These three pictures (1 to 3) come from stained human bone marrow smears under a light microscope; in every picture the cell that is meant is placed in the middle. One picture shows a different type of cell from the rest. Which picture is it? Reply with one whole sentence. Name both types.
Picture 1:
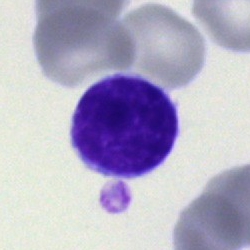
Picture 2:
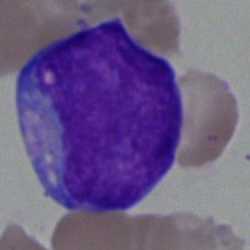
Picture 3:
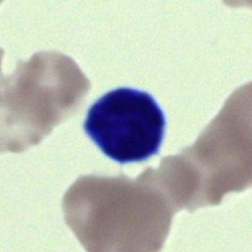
Picture 2 is the odd one out: it shows a blast, while the others show lymphocytes.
